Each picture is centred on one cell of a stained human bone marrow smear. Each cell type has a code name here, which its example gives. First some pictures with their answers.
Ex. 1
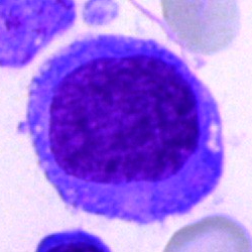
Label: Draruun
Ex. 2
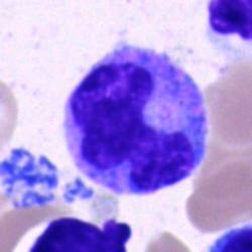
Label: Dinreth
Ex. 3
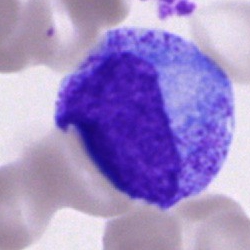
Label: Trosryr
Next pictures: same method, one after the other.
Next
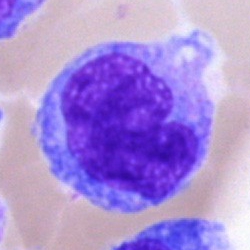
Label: Dinreth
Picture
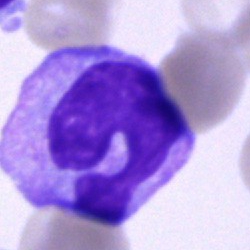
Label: Dinreth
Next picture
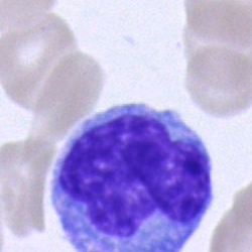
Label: Dinreth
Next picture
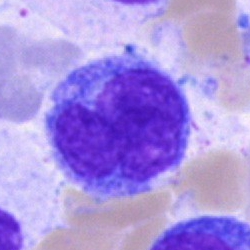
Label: Dinreth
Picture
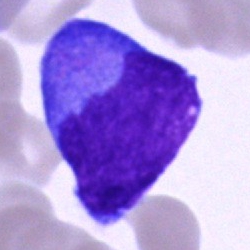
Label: Draruun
